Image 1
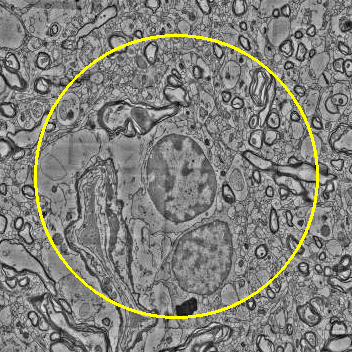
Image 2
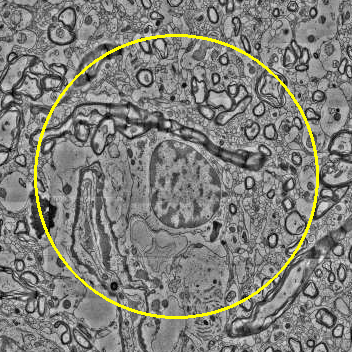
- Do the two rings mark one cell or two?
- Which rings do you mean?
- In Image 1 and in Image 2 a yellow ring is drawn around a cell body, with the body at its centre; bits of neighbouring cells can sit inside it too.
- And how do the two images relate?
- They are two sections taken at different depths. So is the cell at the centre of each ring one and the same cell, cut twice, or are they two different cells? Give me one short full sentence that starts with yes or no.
Yes, one cell is ringed in yellow twice over.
